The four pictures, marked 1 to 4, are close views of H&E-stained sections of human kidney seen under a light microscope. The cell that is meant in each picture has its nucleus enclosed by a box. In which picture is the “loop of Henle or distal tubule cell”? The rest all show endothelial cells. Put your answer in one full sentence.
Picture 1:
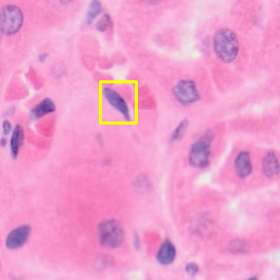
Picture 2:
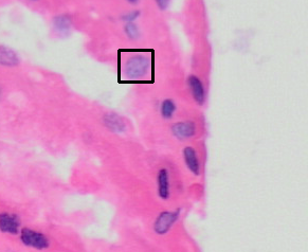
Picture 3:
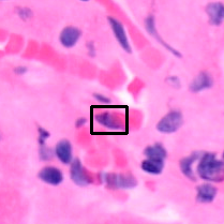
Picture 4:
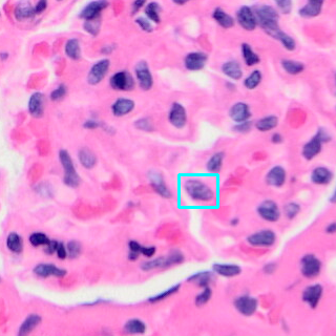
The picture with the “loop of Henle or distal tubule cell” is 2.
